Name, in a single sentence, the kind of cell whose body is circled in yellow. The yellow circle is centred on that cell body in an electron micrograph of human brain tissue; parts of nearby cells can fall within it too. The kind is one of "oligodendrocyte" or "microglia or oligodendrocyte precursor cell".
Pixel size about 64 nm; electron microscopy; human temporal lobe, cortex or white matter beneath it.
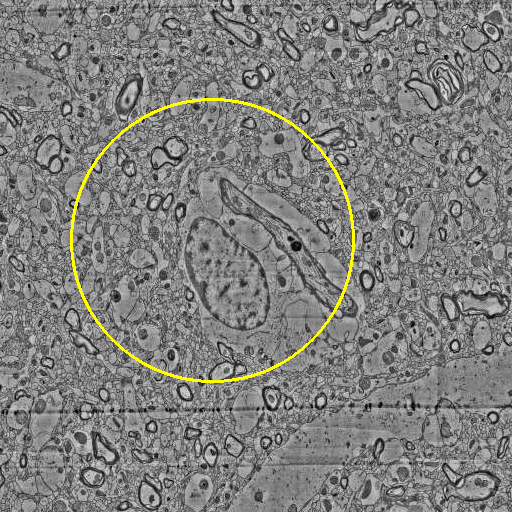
The circled cell body belongs to a microglial cell or oligodendrocyte precursor cell.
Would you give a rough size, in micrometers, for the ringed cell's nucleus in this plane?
Roughly 6 micrometres by 4 micrometres, in this plane.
